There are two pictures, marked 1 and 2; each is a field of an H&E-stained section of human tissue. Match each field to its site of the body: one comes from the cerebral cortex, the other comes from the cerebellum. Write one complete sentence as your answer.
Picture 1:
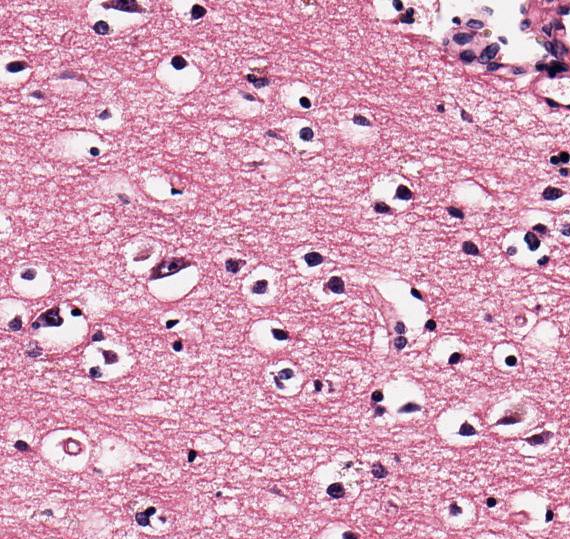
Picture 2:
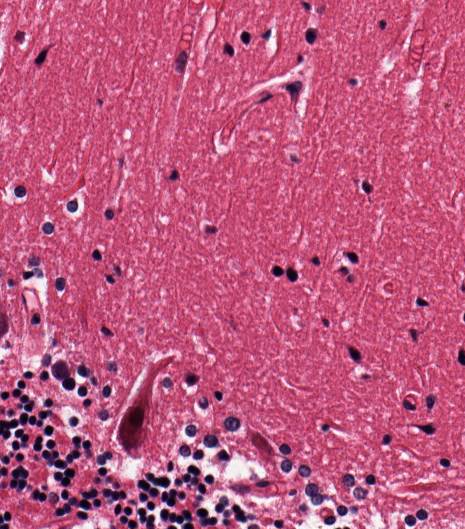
Picture 1 comes from the cerebral cortex and picture 2 comes from the cerebellum.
